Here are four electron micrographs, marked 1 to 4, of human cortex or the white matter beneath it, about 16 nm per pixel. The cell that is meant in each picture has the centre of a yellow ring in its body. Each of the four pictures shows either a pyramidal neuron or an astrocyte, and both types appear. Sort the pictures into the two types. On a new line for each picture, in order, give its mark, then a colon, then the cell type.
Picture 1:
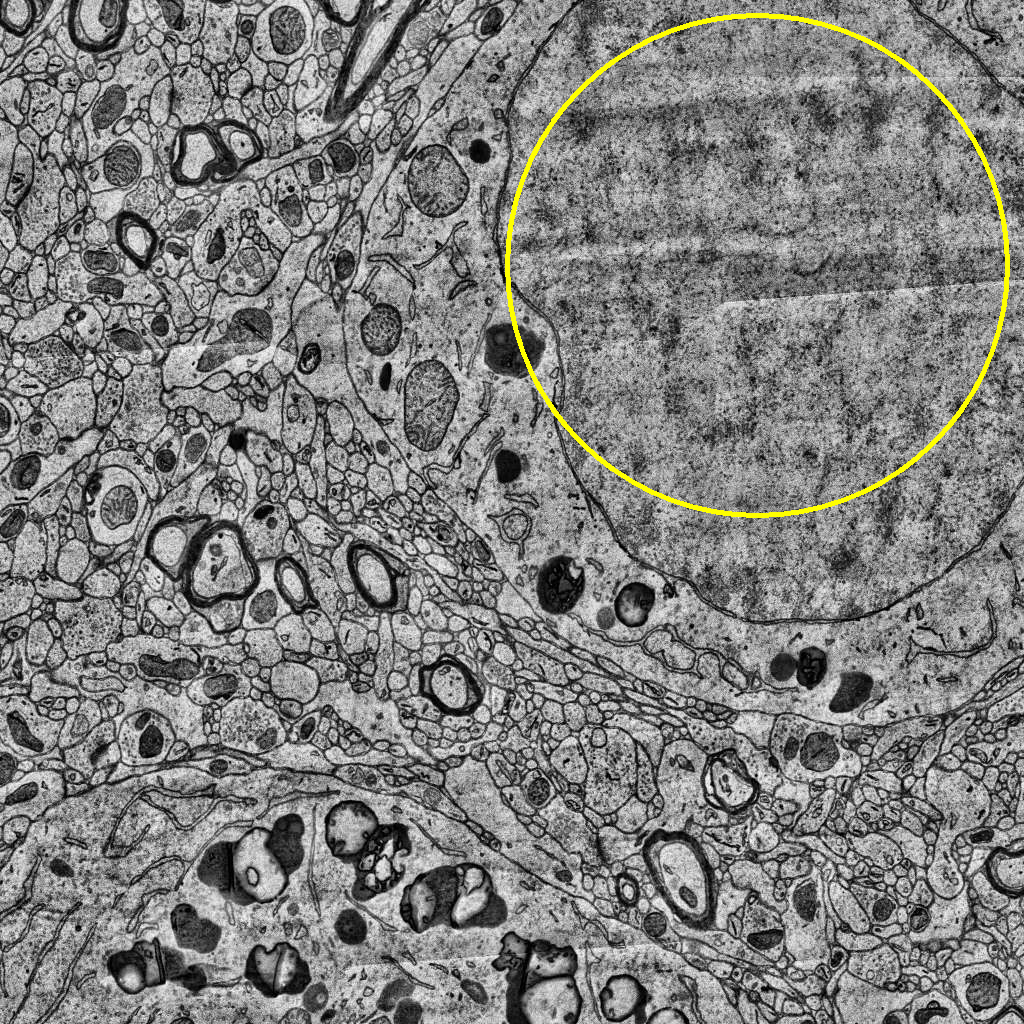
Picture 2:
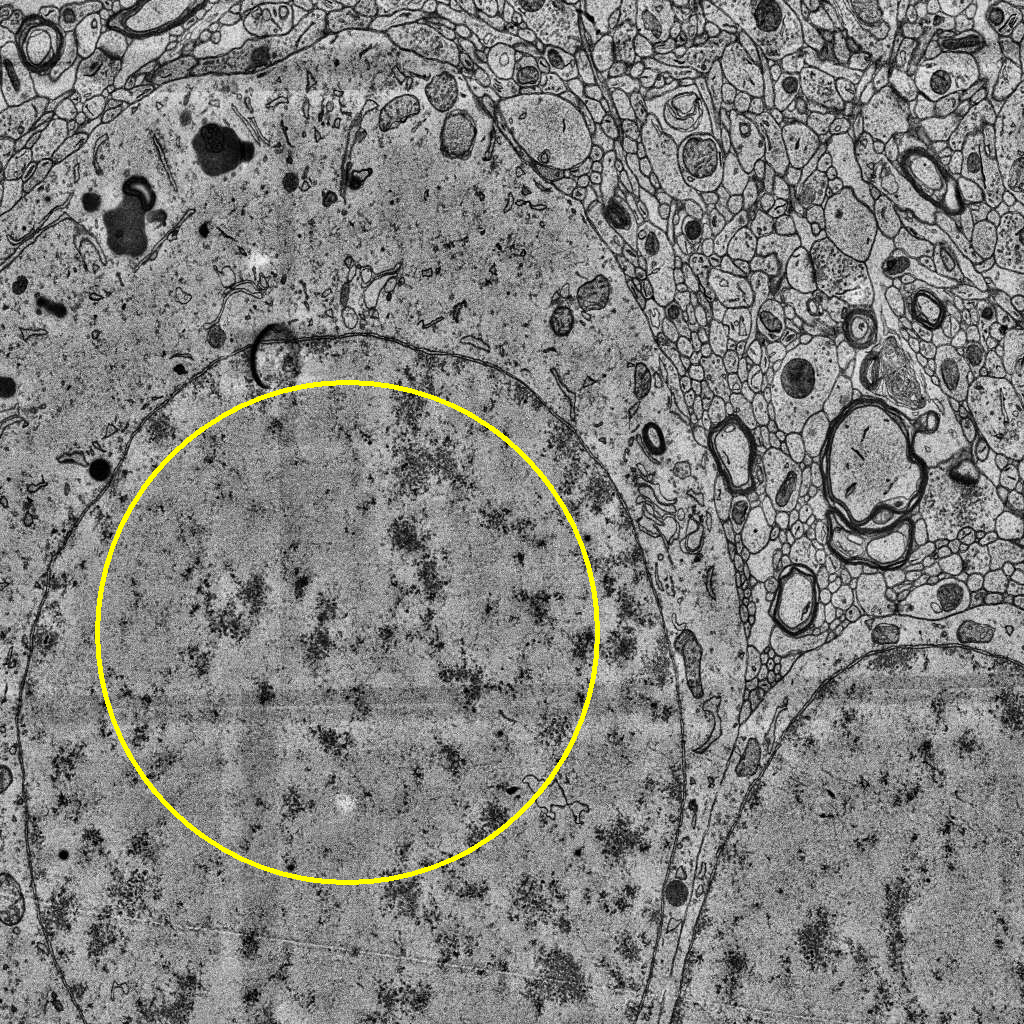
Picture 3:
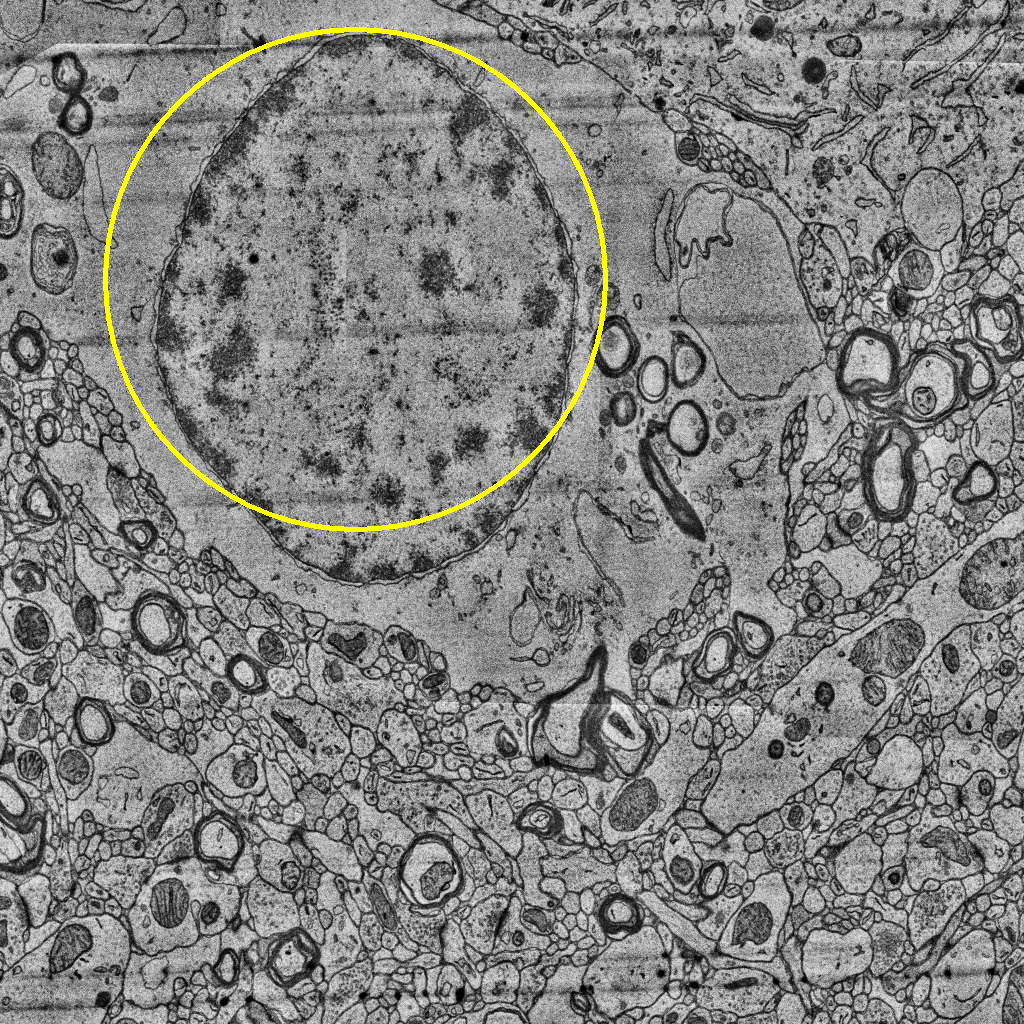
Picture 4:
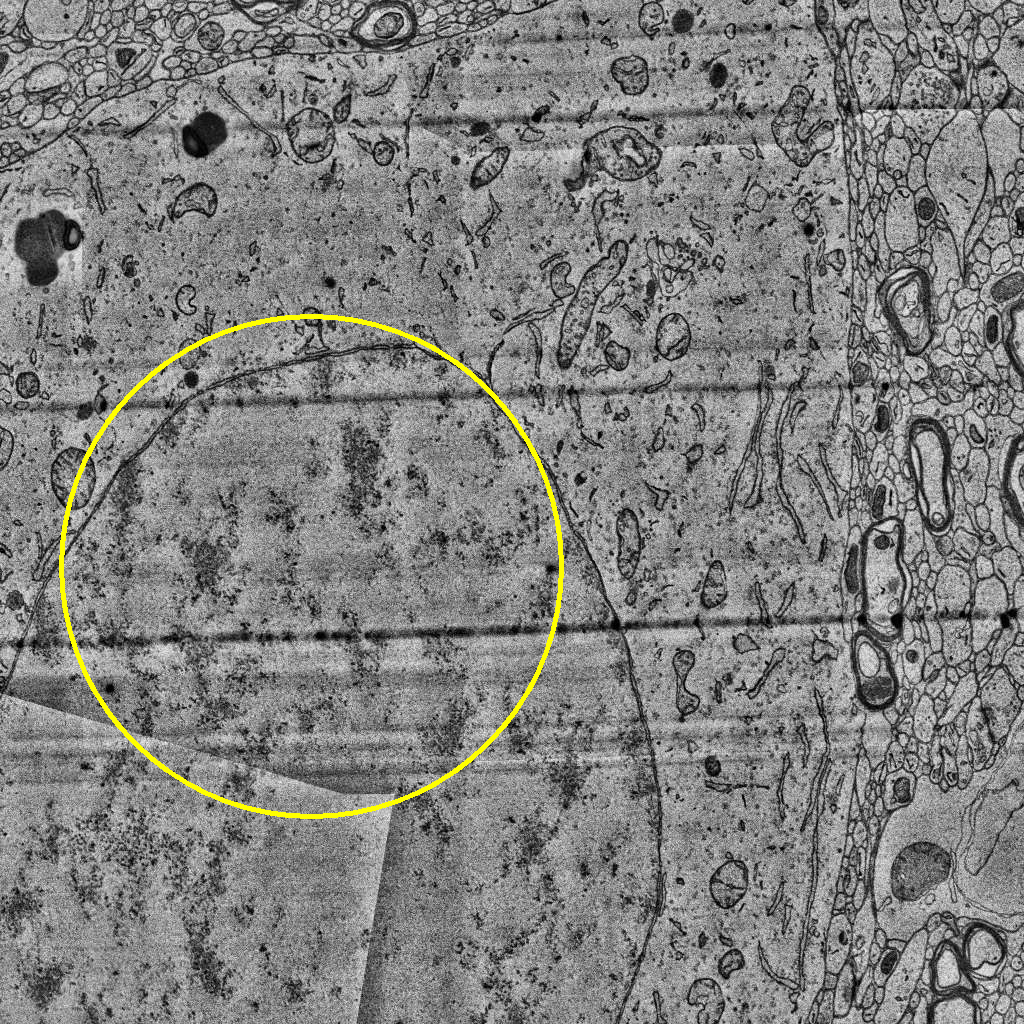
1: pyramidal neuron
2: pyramidal neuron
3: astrocyte
4: pyramidal neuron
